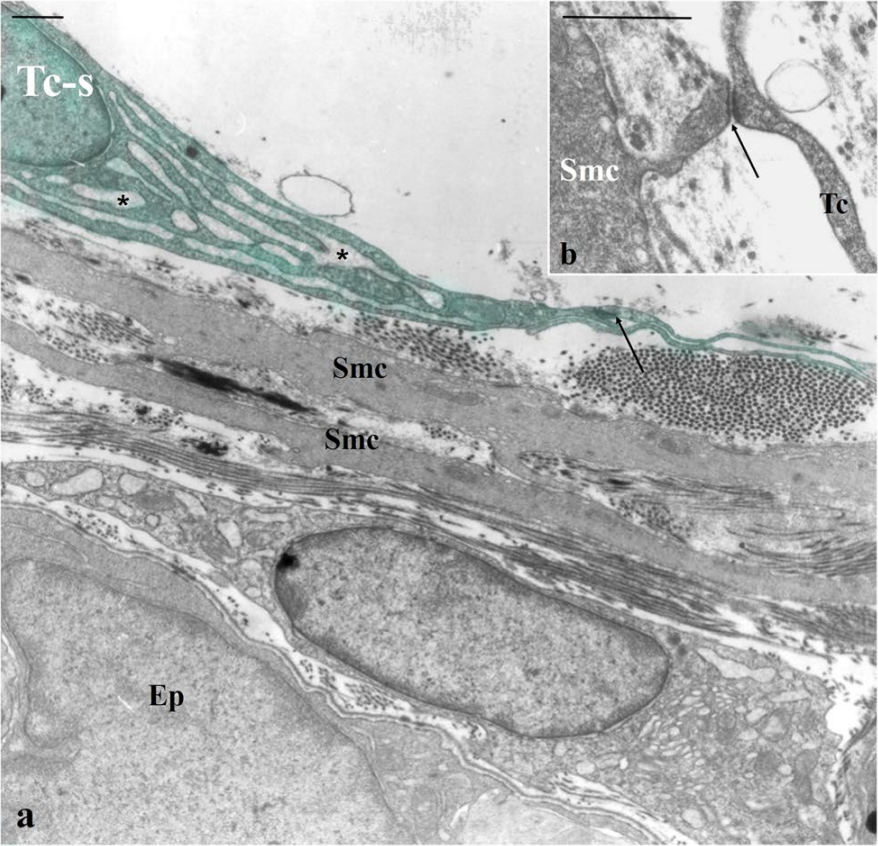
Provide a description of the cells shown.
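The telocyte, tinted green, has a nucleus at one end and a broad cytoplasm crowded with elongated, dilated cisternae of rough endoplasmic reticulum lying in parallel, tapering into a long thin process. Cross-cut collagen fibrils fill the spaces between cells in dense clusters. Epithelial cells lie at the bottom.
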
